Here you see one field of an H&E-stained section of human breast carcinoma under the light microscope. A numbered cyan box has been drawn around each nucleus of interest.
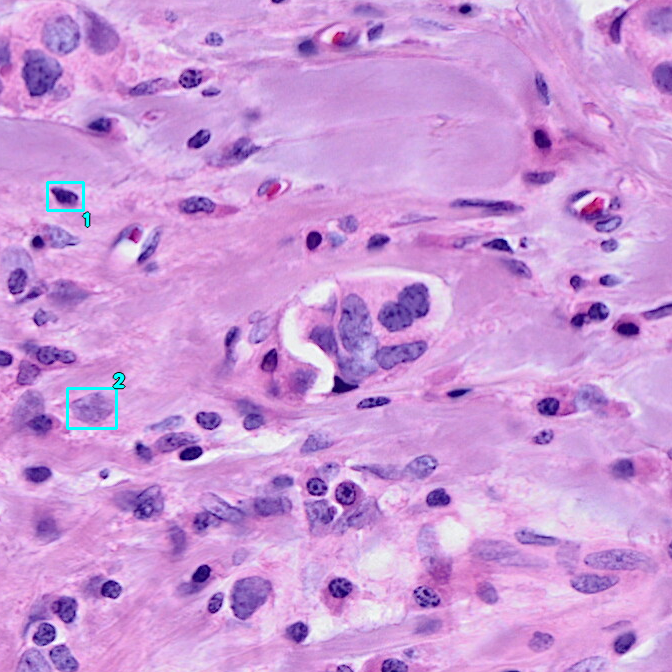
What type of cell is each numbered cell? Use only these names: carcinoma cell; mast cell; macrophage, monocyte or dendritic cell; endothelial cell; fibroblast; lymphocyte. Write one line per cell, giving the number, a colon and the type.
1: lymphocyte
2: fibroblast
